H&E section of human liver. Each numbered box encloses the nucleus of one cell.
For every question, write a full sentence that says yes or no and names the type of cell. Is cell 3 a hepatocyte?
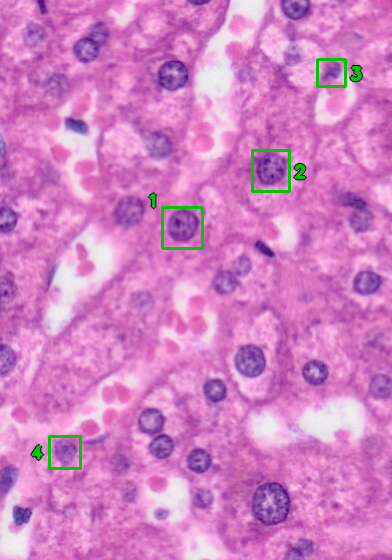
No, number 3 points to a Kupffer cell and not to a hepatocyte.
